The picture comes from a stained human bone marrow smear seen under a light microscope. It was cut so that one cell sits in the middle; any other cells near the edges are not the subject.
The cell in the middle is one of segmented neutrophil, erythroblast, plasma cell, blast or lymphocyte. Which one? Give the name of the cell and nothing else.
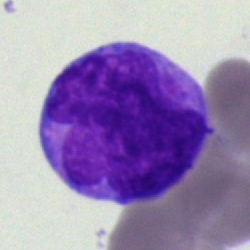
blast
